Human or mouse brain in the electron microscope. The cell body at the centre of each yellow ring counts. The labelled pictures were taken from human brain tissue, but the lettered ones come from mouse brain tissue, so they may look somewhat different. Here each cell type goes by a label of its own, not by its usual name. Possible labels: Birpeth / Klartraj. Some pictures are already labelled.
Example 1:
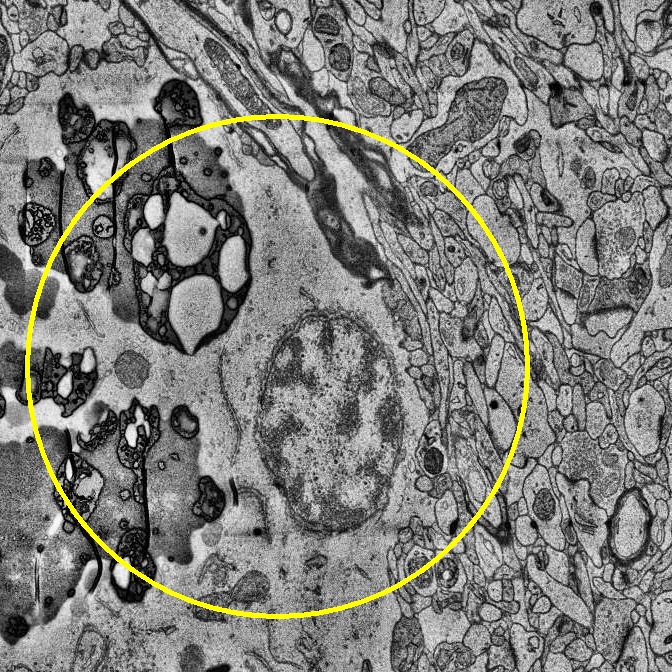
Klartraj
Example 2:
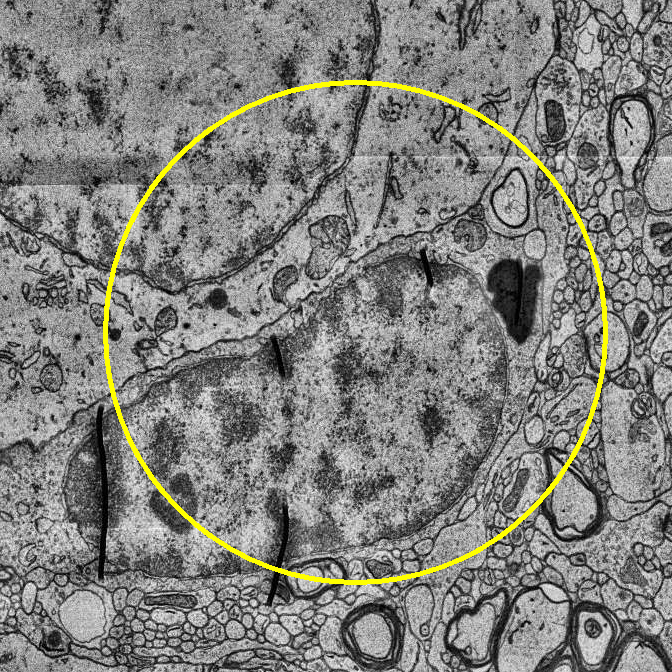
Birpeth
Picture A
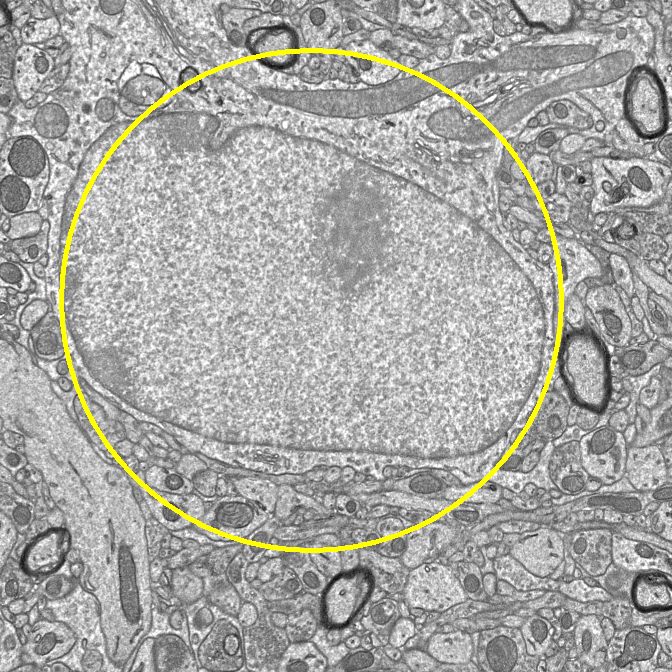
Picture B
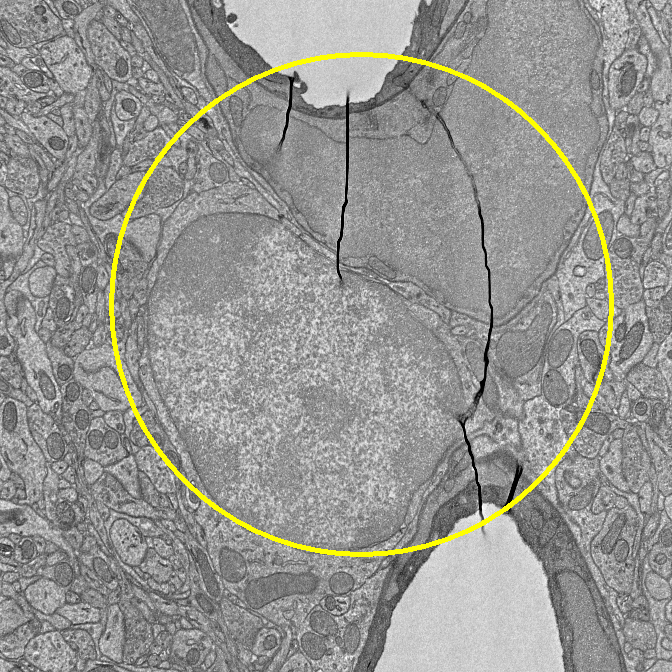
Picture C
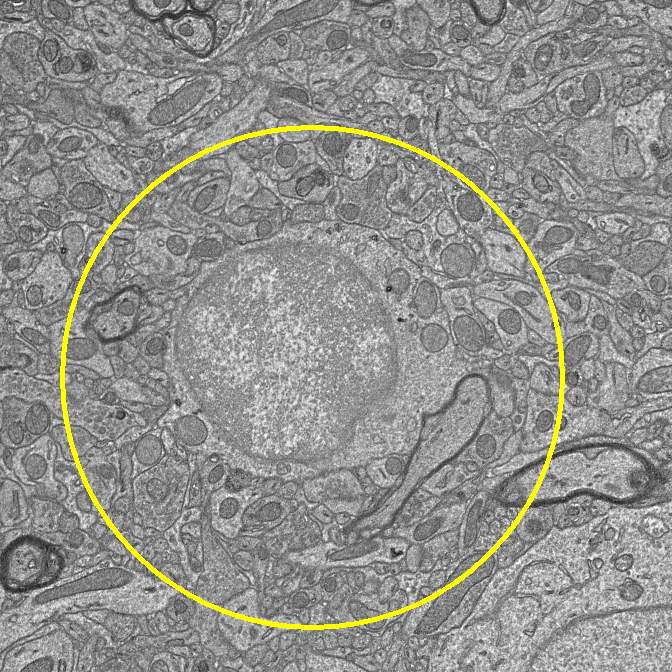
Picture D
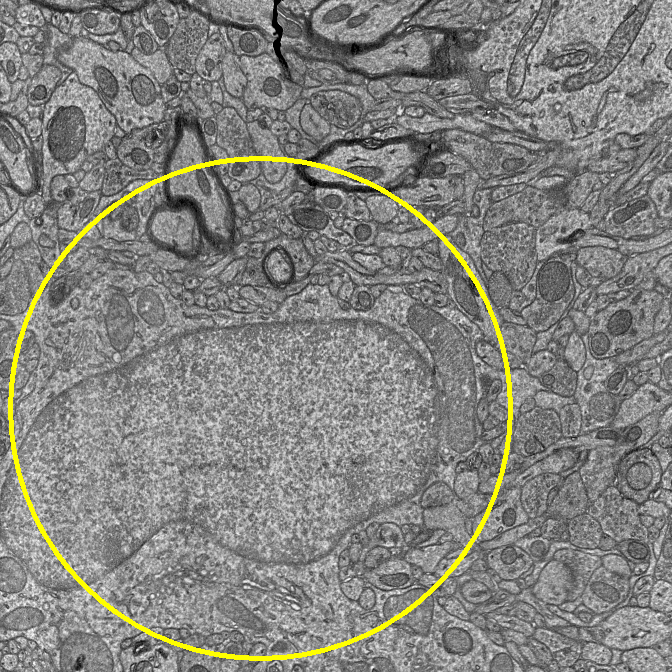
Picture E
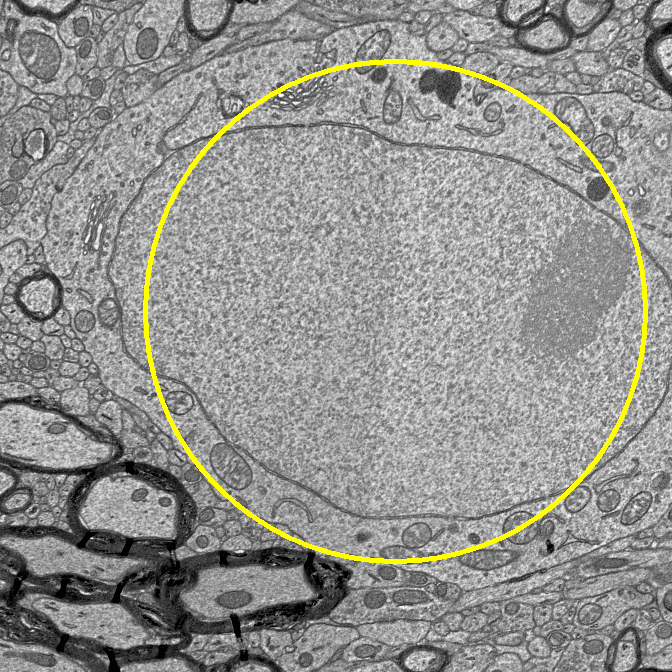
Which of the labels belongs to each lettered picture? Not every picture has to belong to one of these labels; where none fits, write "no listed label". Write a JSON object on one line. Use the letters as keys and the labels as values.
{"A": "Klartraj", "B": "Birpeth", "C": "Birpeth", "D": "Klartraj", "E": "no listed label"}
